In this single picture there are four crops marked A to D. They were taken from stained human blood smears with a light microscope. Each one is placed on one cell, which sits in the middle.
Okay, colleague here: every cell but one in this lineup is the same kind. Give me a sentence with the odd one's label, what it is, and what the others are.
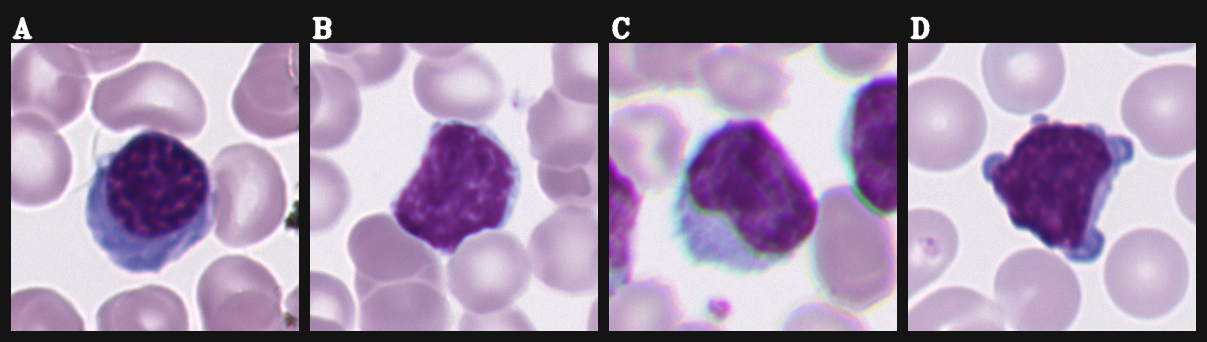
Crop A breaks the pattern with a normoblast; all the others show typical lymphocytes.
